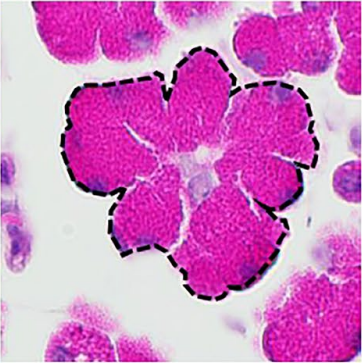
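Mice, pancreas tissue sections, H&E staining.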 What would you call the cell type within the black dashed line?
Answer: Acinar cells.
